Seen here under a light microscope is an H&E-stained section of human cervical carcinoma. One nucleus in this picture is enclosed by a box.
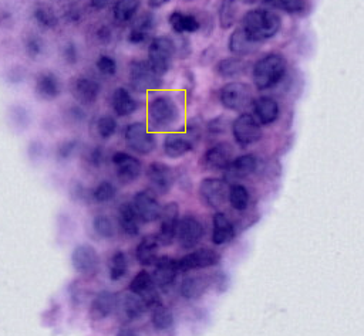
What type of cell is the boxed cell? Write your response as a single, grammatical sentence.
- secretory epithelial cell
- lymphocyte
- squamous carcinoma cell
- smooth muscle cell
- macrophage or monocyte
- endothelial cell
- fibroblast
The cell type represented by the boxed cell is that of a secretory epithelial cell.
